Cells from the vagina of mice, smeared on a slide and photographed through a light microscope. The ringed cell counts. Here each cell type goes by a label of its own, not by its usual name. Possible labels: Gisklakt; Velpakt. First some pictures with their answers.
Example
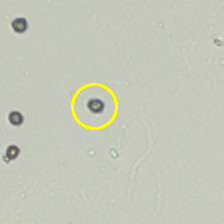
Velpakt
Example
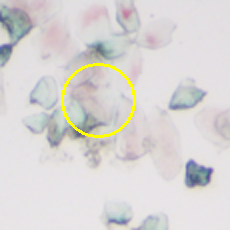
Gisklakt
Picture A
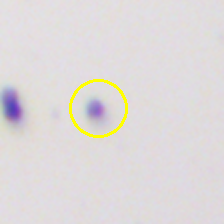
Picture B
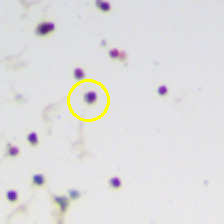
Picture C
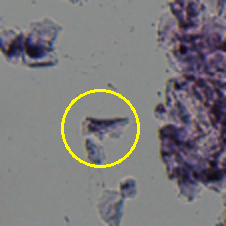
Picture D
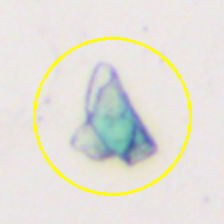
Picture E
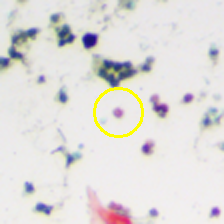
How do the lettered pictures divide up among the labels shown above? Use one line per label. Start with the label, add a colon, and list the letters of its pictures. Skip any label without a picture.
Gisklakt: C, D
Velpakt: A, B, E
